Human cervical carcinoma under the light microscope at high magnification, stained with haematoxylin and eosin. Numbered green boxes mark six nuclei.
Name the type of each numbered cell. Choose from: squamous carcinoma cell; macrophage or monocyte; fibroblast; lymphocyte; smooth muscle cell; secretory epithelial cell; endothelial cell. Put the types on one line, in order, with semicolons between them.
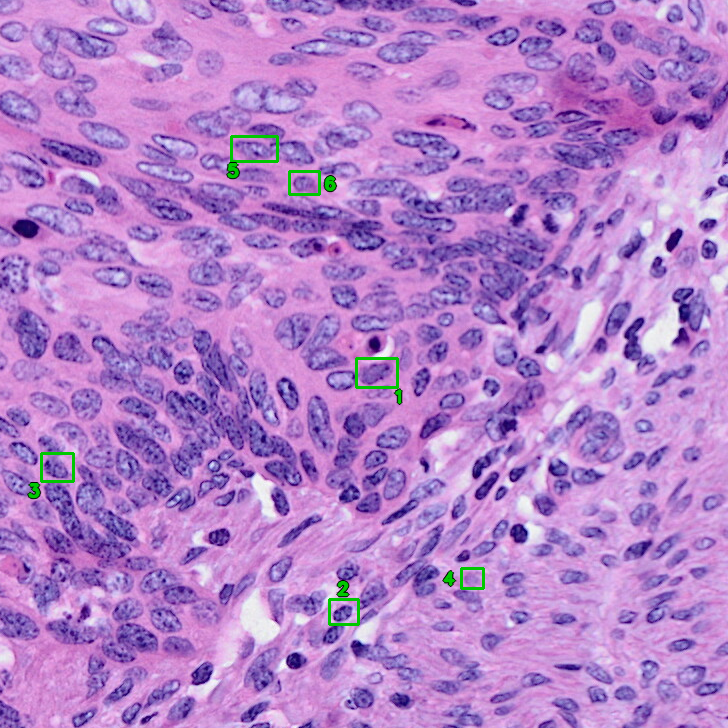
squamous carcinoma cell; lymphocyte; squamous carcinoma cell; smooth muscle cell; squamous carcinoma cell; squamous carcinoma cell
